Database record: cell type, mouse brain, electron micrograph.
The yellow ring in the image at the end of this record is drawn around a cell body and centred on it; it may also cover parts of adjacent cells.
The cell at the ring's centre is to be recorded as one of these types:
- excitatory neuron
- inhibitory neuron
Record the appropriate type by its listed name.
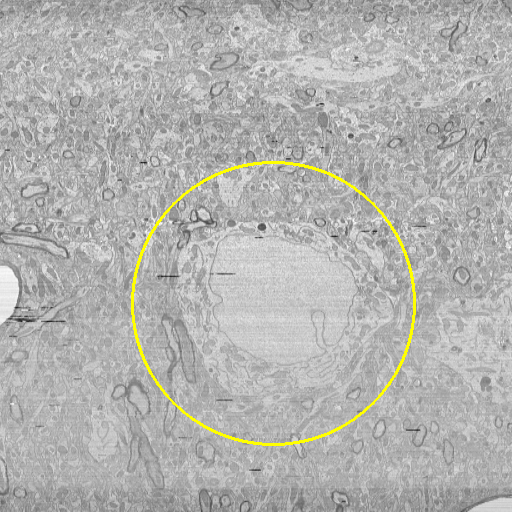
inhibitory neuron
